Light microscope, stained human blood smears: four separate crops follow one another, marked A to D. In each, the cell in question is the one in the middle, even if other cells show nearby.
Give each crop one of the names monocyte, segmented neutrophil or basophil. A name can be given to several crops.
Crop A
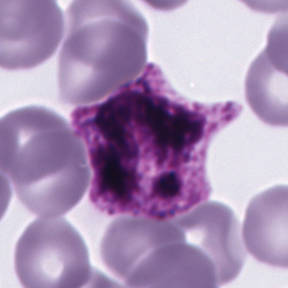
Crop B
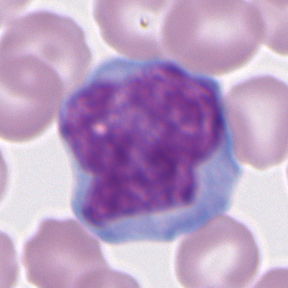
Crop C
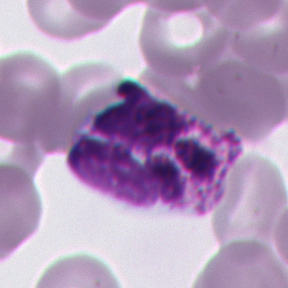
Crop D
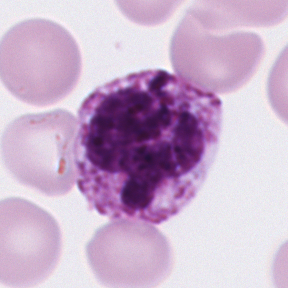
A: basophil
B: monocyte
C: basophil
D: basophil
